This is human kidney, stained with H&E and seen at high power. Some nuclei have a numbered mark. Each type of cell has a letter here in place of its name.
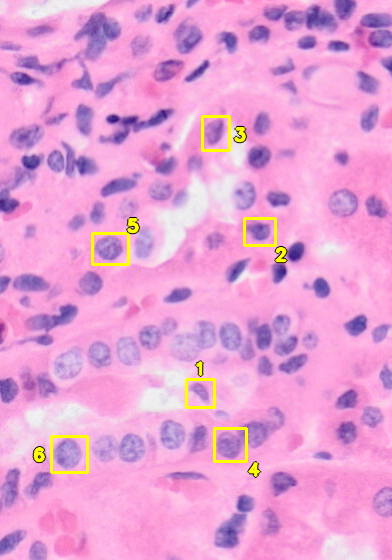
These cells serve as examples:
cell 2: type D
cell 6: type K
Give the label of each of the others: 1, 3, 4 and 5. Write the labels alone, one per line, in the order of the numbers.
type K
type D
type K
type D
